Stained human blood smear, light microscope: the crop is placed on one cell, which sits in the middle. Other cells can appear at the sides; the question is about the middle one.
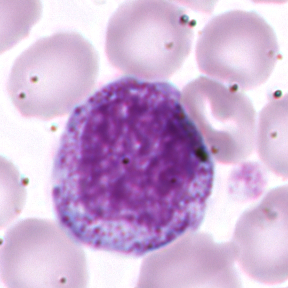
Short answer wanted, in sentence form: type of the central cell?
The central cell in this smear crop is a myelocyte.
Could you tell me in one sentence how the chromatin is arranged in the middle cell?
The chromatin here is fine and lacks any coarse clumps.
